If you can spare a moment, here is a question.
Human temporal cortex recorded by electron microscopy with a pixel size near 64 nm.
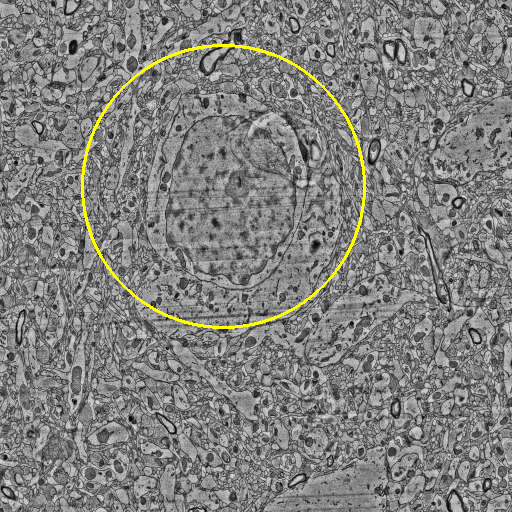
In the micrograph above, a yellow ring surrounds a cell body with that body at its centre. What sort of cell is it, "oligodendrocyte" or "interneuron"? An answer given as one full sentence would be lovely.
Centred inside the yellow ring, the cell body shown belongs to an interneuron in this micrograph.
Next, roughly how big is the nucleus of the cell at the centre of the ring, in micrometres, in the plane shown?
In this plane the nucleus measures roughly 11 by 9 micrometres.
